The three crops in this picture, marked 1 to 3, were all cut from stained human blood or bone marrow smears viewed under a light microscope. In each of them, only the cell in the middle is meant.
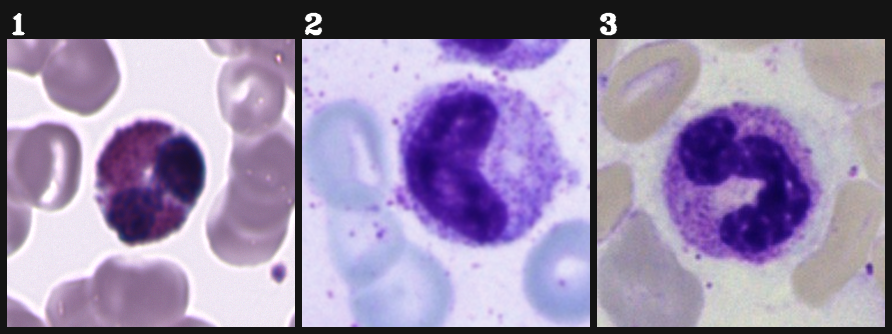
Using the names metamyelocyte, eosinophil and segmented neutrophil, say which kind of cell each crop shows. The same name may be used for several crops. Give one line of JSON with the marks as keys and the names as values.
{"1": "eosinophil", "2": "metamyelocyte", "3": "segmented neutrophil"}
